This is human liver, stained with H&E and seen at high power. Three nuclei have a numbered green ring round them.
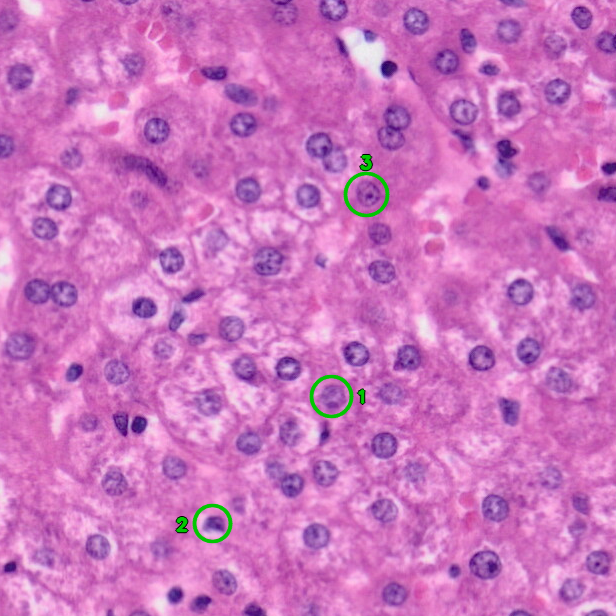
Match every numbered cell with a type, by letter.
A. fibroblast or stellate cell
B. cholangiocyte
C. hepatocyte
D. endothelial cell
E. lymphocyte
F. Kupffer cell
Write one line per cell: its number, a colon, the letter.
1: C
2: D
3: C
